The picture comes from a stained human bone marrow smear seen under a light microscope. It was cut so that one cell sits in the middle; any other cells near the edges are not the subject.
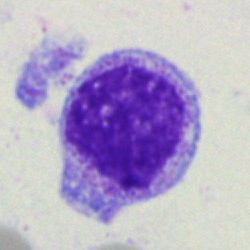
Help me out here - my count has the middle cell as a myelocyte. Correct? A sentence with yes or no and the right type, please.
Yes, in the middle of the crop is a myelocyte.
